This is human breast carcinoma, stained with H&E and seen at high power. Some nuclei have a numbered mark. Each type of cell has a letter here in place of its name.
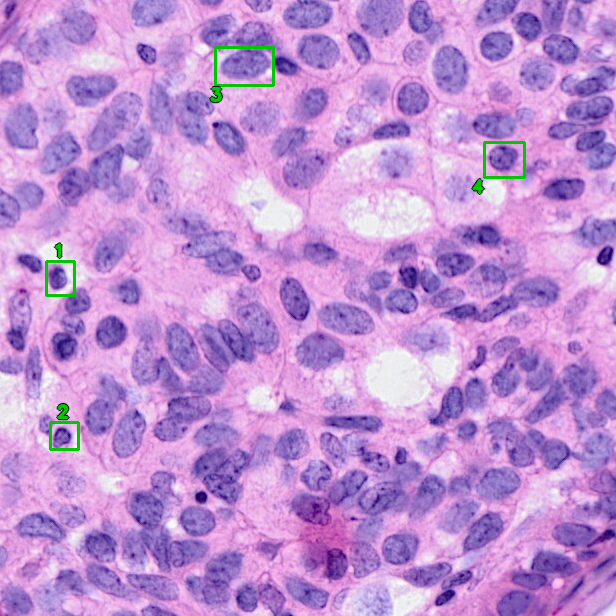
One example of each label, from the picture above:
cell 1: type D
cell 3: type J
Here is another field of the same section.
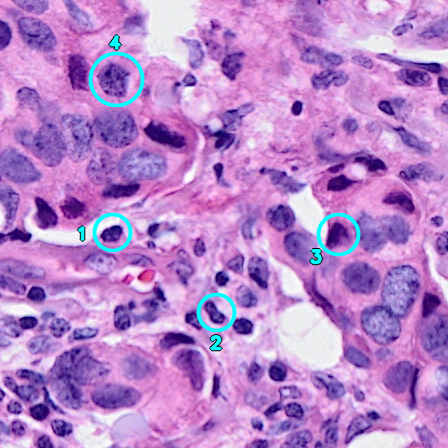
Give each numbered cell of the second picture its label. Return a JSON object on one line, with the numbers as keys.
{"1": "type D", "2": "type D", "3": "type J", "4": "type J"}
